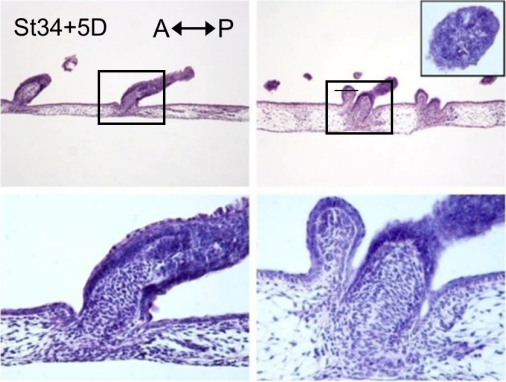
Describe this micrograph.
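Sections of embryonic skin show feather buds as long, slanted projections of densely nucleated mesenchyme covered by a dark-staining epithelium, rising from a looser, paler dermis. Some bud tips lie detached above the surface, cut separately. In the enlargement on one side, a single elongated bud leans away from the surface. On the other side, a second, upright club-shaped bud rises directly in front of the base of the main bud, both with dense purple cell cores and an epithelial covering.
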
